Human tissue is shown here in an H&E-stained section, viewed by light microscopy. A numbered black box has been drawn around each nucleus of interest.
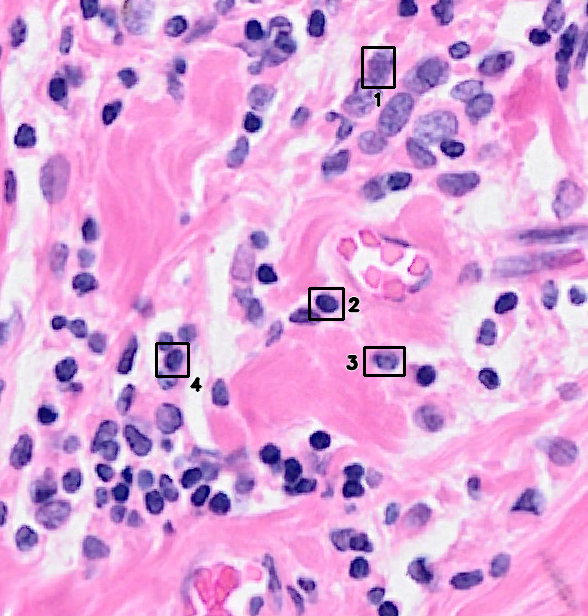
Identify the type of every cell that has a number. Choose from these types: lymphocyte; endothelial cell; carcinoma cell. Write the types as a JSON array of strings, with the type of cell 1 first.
["carcinoma cell", "lymphocyte", "lymphocyte", "lymphocyte"]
